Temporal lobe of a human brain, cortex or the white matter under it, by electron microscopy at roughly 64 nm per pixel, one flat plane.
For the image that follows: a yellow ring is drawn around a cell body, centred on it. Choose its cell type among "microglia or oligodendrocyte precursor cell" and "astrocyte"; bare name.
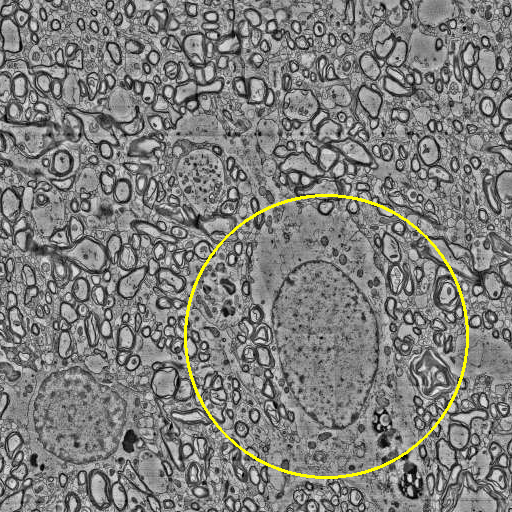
astrocyte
